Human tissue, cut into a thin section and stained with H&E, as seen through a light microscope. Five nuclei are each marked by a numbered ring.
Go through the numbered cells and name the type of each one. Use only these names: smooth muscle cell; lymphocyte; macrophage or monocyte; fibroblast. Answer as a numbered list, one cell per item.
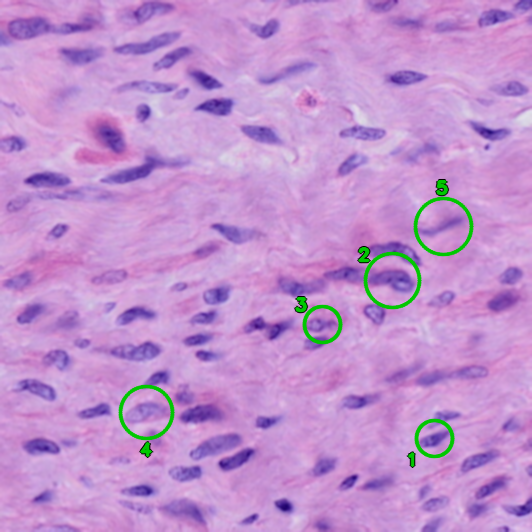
1. fibroblast
2. smooth muscle cell
3. smooth muscle cell
4. smooth muscle cell
5. fibroblast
